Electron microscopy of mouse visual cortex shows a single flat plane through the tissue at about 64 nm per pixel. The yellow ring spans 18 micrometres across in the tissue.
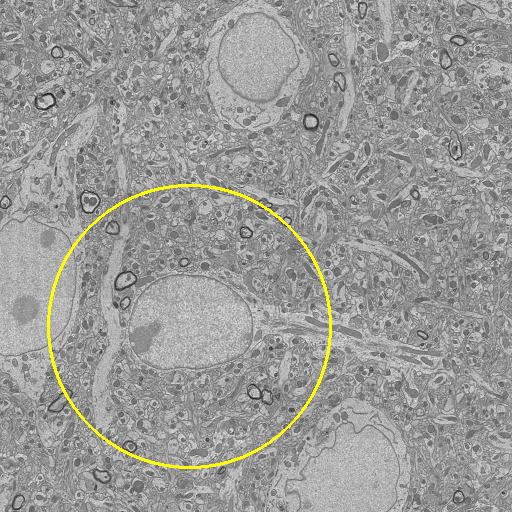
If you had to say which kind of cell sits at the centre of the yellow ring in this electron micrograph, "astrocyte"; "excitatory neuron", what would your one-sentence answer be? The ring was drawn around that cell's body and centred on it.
The cell sitting at the centre of the ring is an astrocyte.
